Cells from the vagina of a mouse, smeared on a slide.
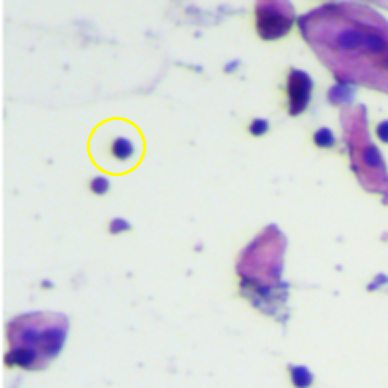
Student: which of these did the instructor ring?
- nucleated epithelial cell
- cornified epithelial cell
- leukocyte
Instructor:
The cell I ringed is a leukocyte.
